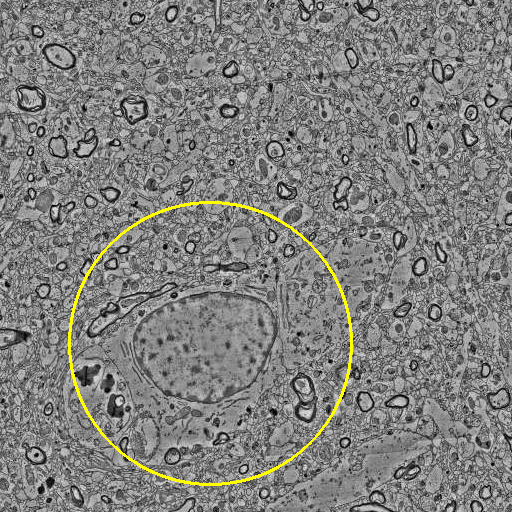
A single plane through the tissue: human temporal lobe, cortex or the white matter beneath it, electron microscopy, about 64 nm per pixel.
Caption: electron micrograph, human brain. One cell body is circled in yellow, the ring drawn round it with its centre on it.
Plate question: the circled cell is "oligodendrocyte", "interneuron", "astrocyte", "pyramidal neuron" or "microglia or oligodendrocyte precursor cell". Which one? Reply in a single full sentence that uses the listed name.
The yellow ring on the plate is centred on a microglial cell or oligodendrocyte precursor cell, going by the listed names.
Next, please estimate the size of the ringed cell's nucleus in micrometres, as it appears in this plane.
About 9 by 7 micrometres in this plane.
